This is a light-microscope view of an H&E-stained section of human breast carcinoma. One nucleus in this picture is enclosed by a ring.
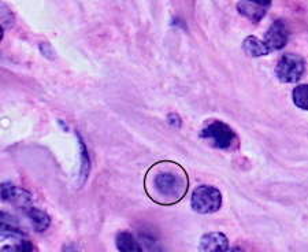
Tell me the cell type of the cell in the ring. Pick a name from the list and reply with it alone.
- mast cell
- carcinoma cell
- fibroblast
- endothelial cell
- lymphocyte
mast cell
